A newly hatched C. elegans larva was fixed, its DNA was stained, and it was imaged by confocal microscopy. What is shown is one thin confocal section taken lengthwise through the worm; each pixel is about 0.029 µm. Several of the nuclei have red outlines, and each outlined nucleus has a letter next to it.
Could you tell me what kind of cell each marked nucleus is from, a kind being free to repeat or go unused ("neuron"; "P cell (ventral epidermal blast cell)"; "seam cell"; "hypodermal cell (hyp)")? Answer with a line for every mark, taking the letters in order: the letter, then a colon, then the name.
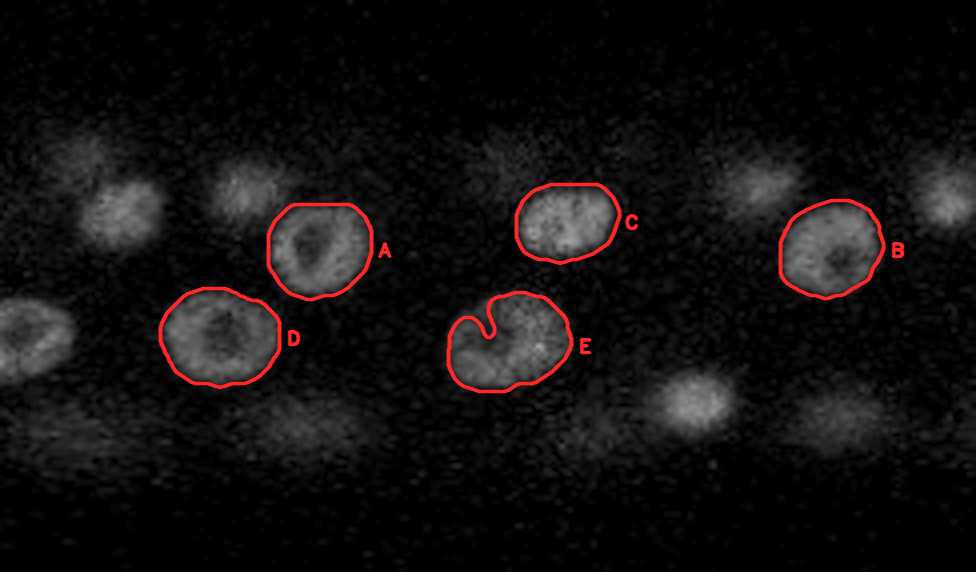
A: seam cell
B: seam cell
C: P cell (ventral epidermal blast cell)
D: hypodermal cell (hyp)
E: hypodermal cell (hyp)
